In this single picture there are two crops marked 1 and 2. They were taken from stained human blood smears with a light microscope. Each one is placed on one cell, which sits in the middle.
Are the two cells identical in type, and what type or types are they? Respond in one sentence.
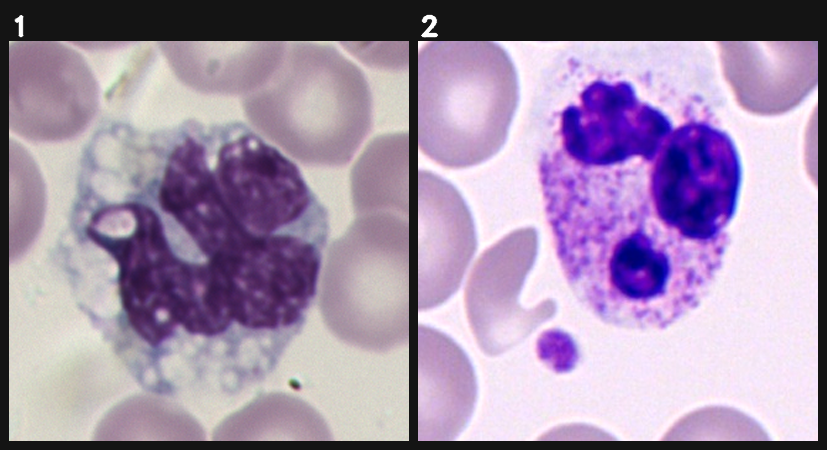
No, crop 1 shows a monocyte, whereas a neutrophil is what crop 2 shows.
